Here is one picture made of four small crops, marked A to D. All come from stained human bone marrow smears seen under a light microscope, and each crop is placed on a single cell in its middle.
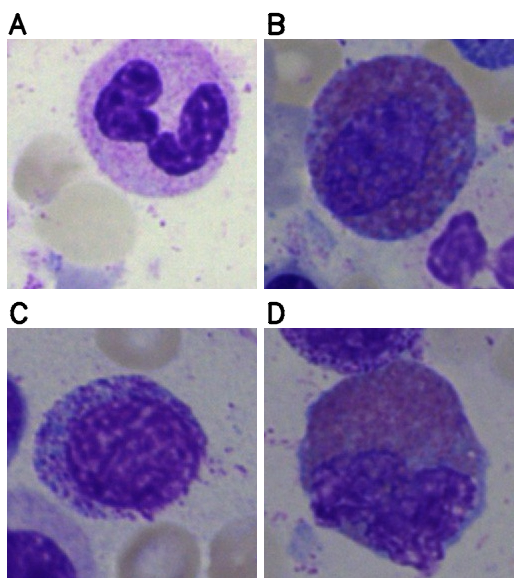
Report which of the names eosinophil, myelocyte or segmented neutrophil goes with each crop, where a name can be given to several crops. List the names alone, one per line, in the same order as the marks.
segmented neutrophil
eosinophil
myelocyte
eosinophil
